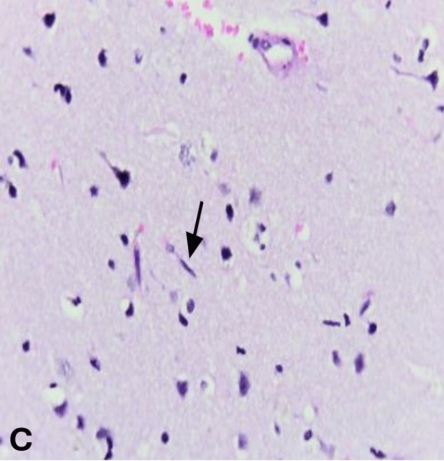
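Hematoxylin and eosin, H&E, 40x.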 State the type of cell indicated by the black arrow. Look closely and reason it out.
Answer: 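The marked cell has a slender, elongated, rod-like dark nucleus. It lies in a pale, finely fibrillar background. On this evidence: Activated microglial cells.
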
